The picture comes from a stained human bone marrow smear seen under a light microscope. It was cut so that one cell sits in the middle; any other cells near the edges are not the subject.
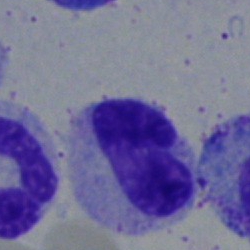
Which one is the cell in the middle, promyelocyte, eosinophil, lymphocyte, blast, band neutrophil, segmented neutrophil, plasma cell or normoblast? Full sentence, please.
The cell around which this crop is centred is a band neutrophil.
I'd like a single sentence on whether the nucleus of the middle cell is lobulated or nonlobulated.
A single compact nucleus, round, oval or kidney-shaped, is what this cell shows.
